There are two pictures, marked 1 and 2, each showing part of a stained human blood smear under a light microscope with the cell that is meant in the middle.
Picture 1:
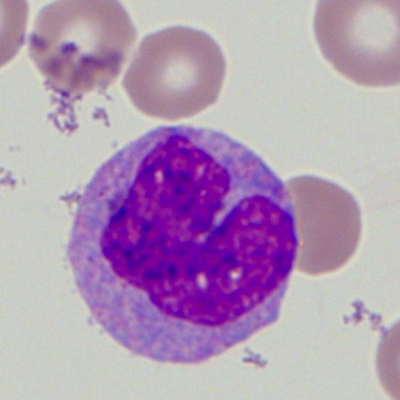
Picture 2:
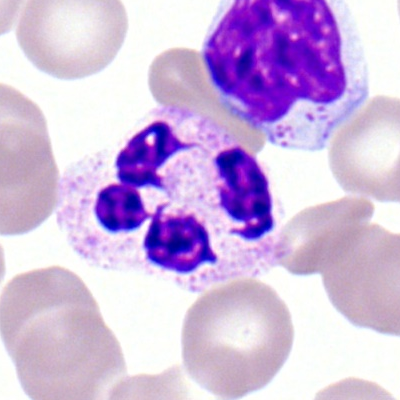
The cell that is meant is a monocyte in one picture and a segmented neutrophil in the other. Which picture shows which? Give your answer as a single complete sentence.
It is picture 1 that shows a monocyte, and picture 2 that shows a segmented neutrophil.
